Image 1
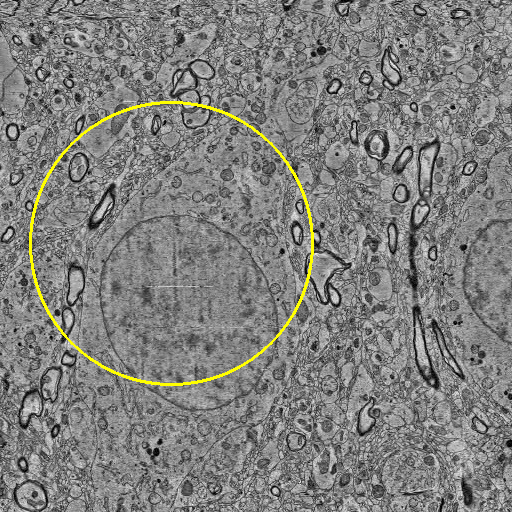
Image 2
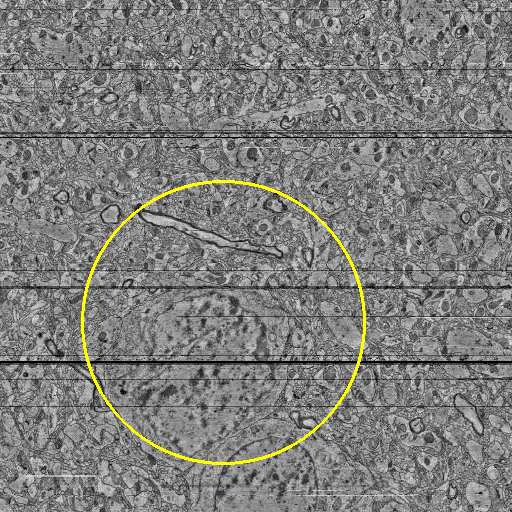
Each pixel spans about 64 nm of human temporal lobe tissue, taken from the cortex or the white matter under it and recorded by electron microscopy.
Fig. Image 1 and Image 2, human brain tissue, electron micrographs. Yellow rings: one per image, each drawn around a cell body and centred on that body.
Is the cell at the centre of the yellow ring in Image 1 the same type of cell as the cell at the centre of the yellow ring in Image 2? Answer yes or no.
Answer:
yes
